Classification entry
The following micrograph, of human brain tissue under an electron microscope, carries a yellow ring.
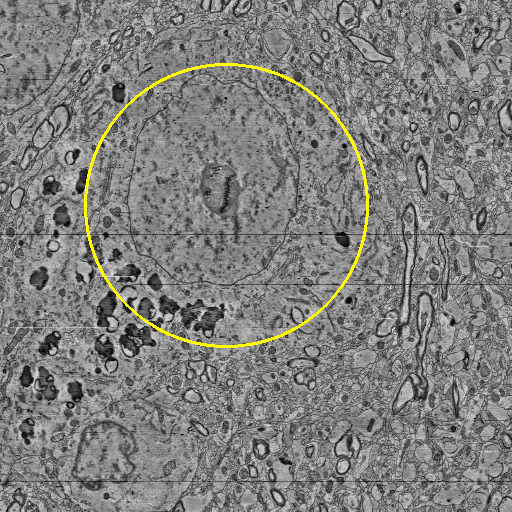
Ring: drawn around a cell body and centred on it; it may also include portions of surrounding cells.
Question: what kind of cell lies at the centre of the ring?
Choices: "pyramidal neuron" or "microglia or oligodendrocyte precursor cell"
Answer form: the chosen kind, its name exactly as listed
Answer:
pyramidal neuron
